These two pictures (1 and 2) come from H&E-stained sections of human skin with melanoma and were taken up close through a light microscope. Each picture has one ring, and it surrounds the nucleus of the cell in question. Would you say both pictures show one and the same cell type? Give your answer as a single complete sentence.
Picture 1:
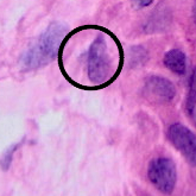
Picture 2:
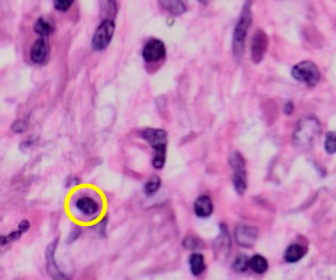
No; the cell in picture 1 is a “fibroblast or myofibroblast”, while the one in picture 2 is a plasma cell.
